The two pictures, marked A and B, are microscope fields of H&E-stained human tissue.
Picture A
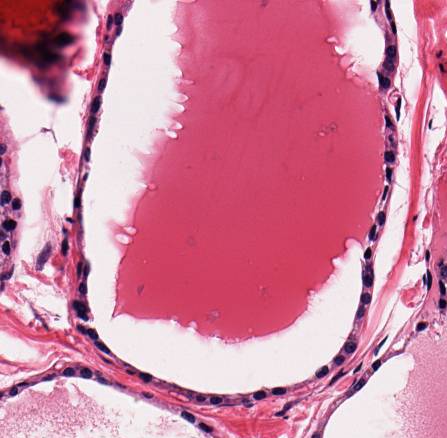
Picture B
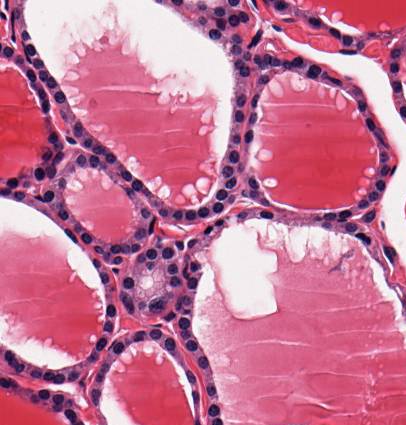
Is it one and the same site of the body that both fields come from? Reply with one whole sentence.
Yes; both pictures come from the thyroid.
